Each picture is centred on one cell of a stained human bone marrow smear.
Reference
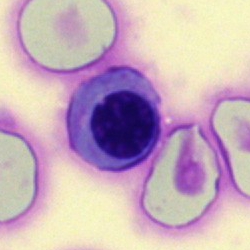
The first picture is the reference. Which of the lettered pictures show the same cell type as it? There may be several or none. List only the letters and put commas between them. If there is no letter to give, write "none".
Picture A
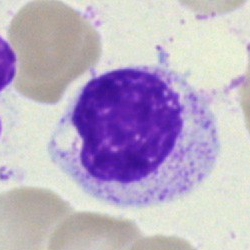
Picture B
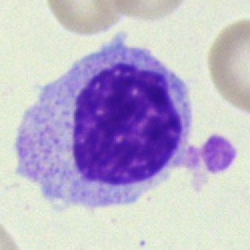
none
